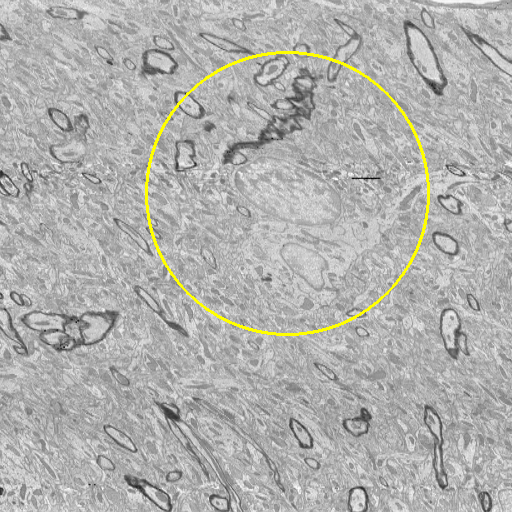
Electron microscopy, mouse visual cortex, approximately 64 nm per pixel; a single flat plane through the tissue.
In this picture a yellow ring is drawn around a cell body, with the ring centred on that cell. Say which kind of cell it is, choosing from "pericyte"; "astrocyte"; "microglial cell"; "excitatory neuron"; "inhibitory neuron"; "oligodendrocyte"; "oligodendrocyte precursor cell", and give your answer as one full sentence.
Here it is an oligodendrocyte that sits at the centre of the drawn yellow ring.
